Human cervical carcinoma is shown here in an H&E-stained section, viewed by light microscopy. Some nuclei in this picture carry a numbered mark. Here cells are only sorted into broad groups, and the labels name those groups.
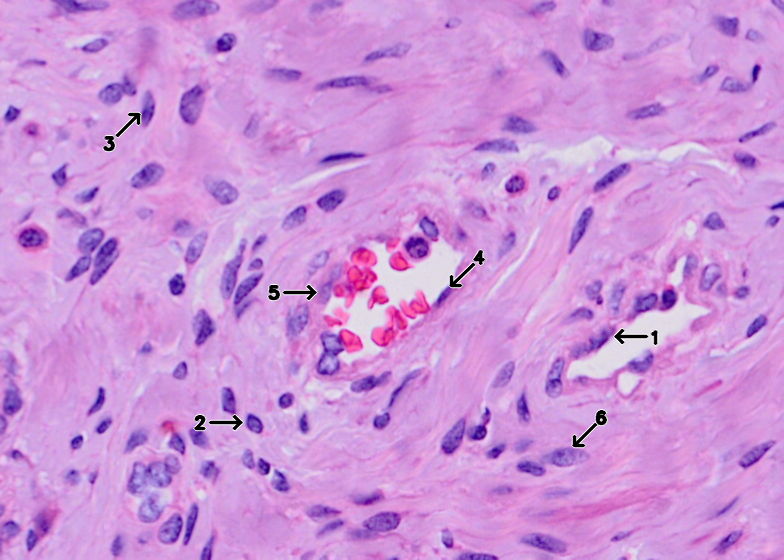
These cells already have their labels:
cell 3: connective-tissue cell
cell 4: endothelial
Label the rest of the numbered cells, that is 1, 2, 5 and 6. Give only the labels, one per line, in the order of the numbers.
endothelial
connective-tissue cell
endothelial
connective-tissue cell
